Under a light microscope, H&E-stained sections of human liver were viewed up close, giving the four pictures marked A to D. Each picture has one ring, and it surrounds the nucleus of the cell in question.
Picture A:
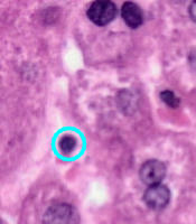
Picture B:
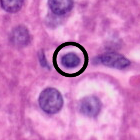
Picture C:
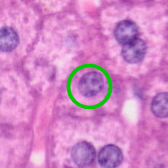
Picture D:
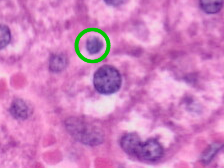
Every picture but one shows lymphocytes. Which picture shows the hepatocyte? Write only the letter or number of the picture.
C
